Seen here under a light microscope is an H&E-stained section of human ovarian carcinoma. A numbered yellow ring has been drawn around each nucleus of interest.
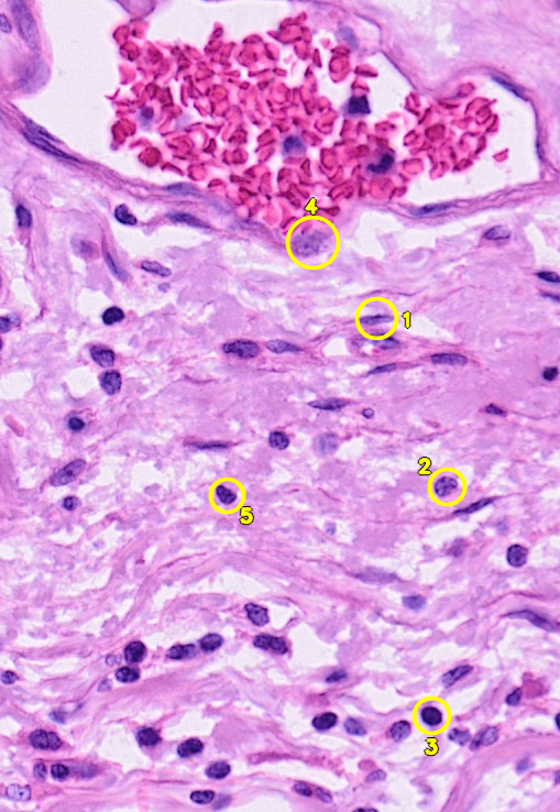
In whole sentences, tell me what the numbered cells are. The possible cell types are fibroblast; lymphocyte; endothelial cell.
Cell 1 is a fibroblast. Cells 2, 3 and 5 are lymphocytes. Cell 4 is an endothelial cell.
